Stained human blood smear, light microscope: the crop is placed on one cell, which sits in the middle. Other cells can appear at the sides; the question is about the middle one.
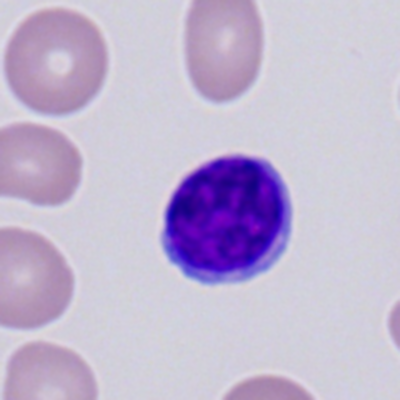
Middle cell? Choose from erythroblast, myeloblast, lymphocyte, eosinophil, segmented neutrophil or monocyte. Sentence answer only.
In the crop, the cell of interest at the centre is a lymphocyte.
